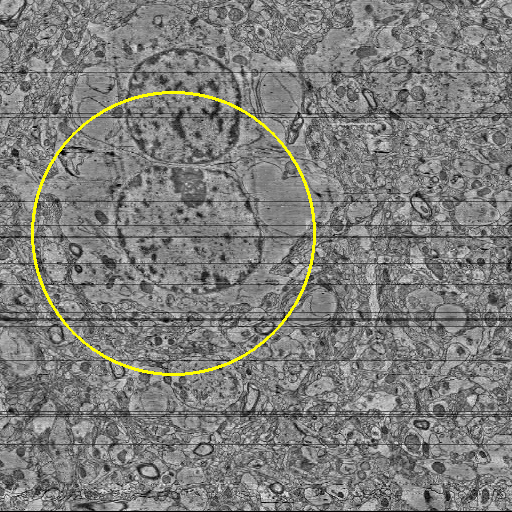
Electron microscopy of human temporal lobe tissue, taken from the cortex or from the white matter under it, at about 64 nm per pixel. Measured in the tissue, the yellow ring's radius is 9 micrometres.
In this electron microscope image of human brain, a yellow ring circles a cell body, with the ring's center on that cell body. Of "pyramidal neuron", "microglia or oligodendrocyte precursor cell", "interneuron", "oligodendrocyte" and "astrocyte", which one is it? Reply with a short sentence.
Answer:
It is an astrocyte at the center of the ring.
